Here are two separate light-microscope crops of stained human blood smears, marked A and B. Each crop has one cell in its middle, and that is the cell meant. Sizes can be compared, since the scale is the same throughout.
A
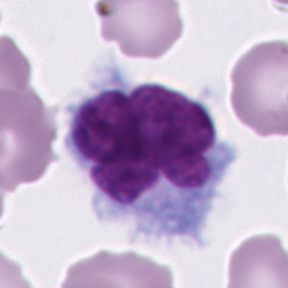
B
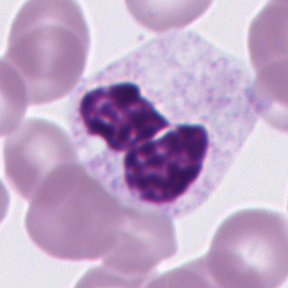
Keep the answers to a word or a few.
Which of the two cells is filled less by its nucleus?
B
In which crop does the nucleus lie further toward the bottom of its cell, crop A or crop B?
B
